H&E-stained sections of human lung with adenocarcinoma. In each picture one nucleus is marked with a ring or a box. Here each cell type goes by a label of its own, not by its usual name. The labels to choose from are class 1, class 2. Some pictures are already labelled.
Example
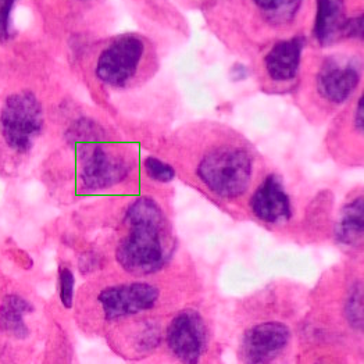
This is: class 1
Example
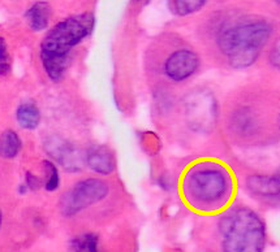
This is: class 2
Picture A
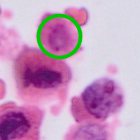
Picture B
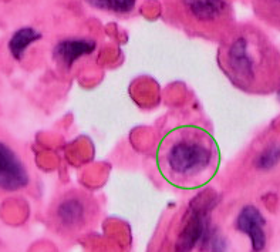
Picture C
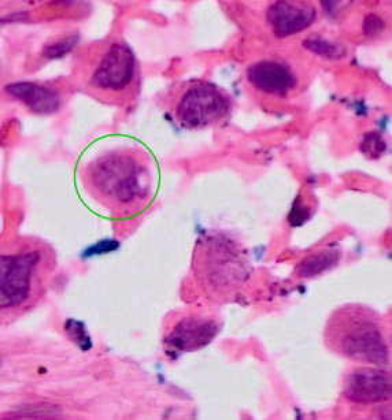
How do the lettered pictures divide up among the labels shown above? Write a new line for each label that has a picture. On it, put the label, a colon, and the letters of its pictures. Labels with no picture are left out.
class 1: C
class 2: A, B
